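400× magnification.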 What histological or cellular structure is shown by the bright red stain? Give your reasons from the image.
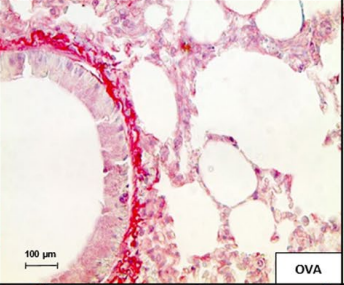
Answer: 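Intense red fibrous bands run beneath the airway epithelium. The red material is extracellular and follows the curve of the airway wall.
Answer: collagen fibres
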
